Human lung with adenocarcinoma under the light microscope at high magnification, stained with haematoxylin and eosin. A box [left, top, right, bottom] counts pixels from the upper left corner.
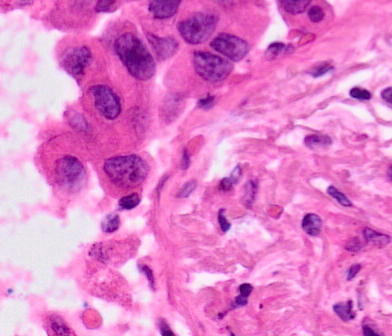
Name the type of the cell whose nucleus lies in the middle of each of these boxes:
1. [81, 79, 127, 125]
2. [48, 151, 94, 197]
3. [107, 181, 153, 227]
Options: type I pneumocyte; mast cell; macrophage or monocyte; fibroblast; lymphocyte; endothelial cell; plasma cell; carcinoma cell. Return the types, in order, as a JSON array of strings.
["carcinoma cell", "carcinoma cell", "lymphocyte"]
